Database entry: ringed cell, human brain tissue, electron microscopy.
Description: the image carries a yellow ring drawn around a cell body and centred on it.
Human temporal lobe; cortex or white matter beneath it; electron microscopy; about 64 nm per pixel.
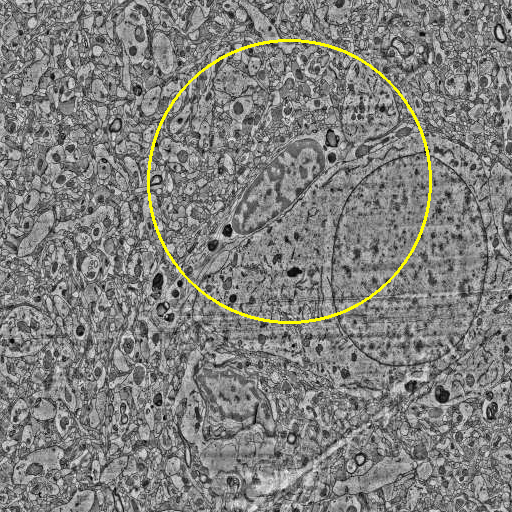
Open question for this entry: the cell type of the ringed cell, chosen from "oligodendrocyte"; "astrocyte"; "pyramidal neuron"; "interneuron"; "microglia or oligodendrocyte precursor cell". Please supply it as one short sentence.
The ringed cell is a microglial cell or oligodendrocyte precursor cell.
